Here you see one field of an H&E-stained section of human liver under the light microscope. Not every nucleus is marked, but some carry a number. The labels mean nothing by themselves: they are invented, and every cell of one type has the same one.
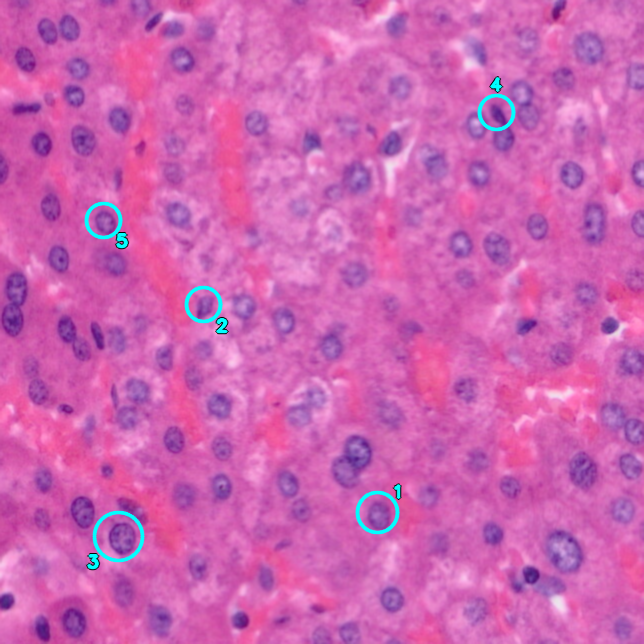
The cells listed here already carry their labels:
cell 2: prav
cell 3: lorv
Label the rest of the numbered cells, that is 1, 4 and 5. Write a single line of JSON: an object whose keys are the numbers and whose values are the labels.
{"1": "lorv", "4": "prav", "5": "lorv"}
